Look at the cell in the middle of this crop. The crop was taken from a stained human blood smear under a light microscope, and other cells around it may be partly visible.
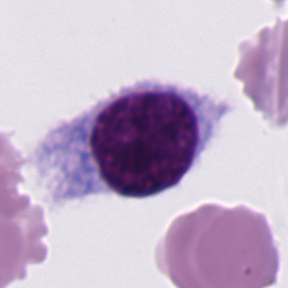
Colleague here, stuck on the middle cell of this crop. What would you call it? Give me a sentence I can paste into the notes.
This crop has a hairy cell at its centre.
